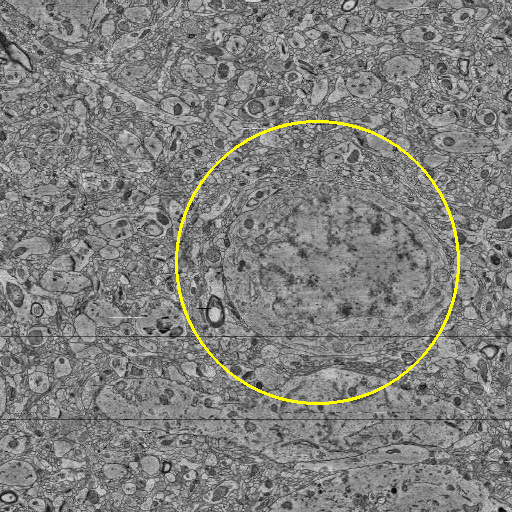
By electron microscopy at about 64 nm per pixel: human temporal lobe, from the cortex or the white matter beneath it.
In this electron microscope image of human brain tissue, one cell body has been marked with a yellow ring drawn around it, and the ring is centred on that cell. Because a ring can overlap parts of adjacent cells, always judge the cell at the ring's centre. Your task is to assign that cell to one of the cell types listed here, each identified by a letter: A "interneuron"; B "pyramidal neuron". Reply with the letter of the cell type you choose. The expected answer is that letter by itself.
A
